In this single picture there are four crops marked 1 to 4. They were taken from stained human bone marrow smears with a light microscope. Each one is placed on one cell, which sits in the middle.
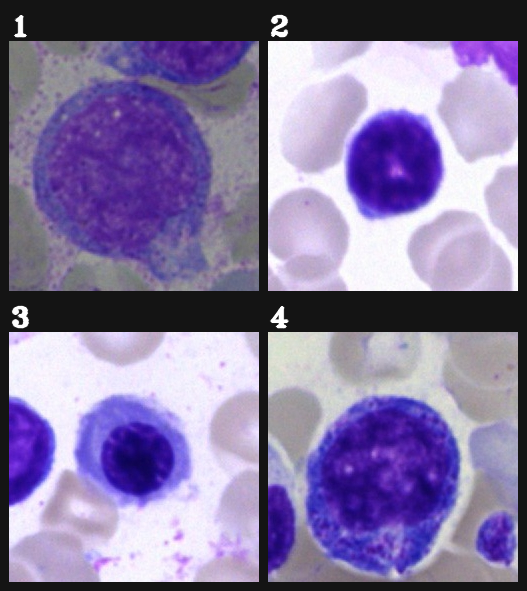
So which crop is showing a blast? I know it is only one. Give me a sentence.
Of the cells presented, the one in crop 1 is a blast.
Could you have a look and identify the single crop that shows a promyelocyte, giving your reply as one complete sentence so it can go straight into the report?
The crop that shows a promyelocyte is crop 4.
